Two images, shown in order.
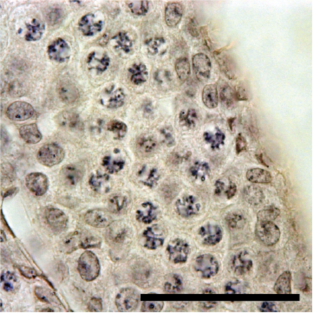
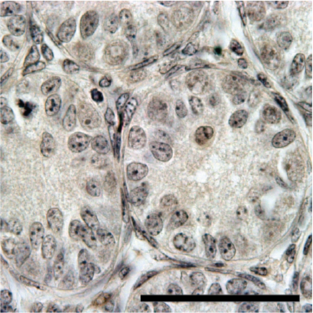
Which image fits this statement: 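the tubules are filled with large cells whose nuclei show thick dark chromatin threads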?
The first image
